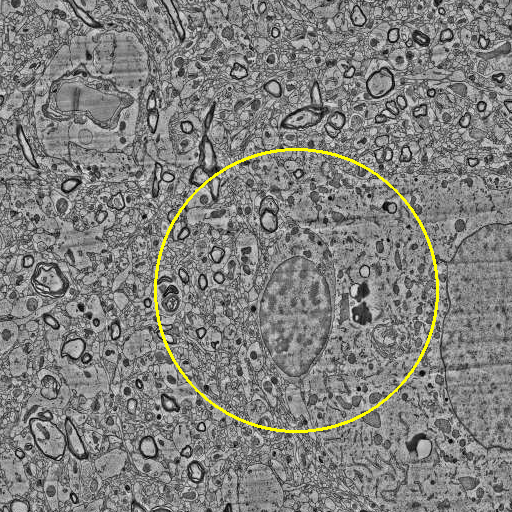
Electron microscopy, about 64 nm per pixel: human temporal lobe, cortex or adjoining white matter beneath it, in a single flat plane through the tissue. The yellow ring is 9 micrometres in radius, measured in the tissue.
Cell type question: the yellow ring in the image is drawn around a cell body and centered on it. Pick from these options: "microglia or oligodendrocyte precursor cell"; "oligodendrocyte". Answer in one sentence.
The ringed cell at the center is an oligodendrocyte.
